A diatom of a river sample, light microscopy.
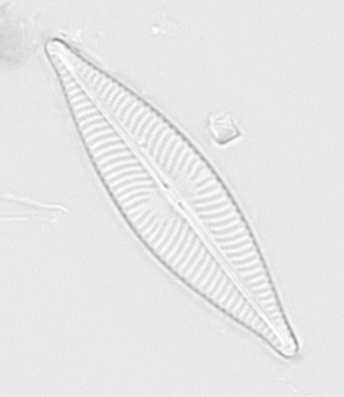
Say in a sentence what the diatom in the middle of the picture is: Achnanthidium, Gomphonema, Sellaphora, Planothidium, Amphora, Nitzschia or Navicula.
This is Navicula.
